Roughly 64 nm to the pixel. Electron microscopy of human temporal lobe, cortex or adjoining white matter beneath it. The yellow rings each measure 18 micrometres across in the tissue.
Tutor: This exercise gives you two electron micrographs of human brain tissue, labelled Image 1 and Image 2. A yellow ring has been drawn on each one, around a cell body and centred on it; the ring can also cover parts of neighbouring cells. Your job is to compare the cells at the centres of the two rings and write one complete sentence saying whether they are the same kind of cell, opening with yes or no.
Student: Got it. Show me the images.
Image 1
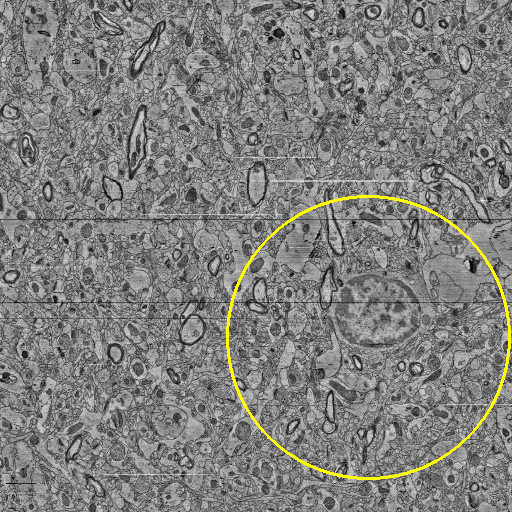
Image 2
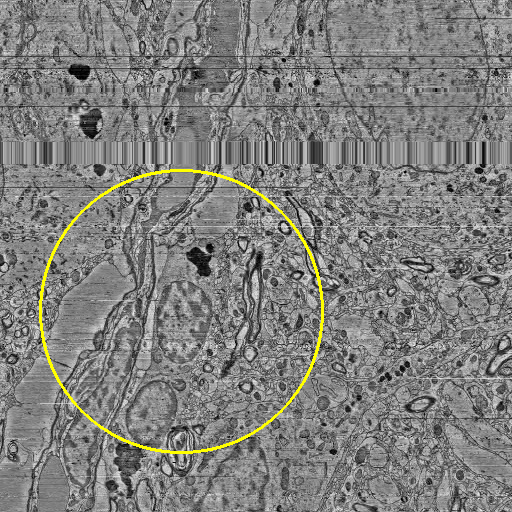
Yes, the two cells belong to the same kind.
